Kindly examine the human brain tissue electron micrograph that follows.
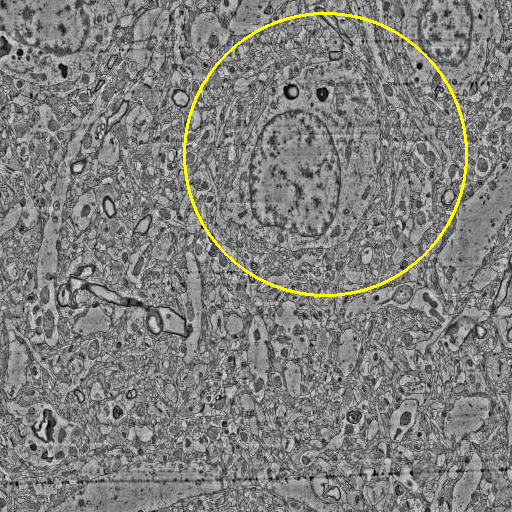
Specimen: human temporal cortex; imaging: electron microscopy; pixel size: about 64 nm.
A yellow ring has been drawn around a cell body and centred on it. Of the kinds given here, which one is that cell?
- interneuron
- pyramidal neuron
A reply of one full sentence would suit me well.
The micrograph's ringed cell, the one at the ring's centre, is a pyramidal neuron.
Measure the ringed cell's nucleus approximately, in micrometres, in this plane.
The ringed cell's nucleus measures approximately 8 by 6 micrometres in this plane.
